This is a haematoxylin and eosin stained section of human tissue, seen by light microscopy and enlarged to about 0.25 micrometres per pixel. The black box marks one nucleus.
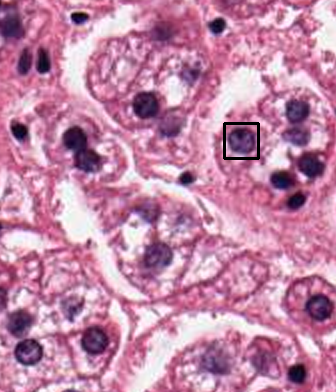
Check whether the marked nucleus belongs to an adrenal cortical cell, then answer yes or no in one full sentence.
Yes, in this image it is an adrenal cortical cell that contains the marked nucleus.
